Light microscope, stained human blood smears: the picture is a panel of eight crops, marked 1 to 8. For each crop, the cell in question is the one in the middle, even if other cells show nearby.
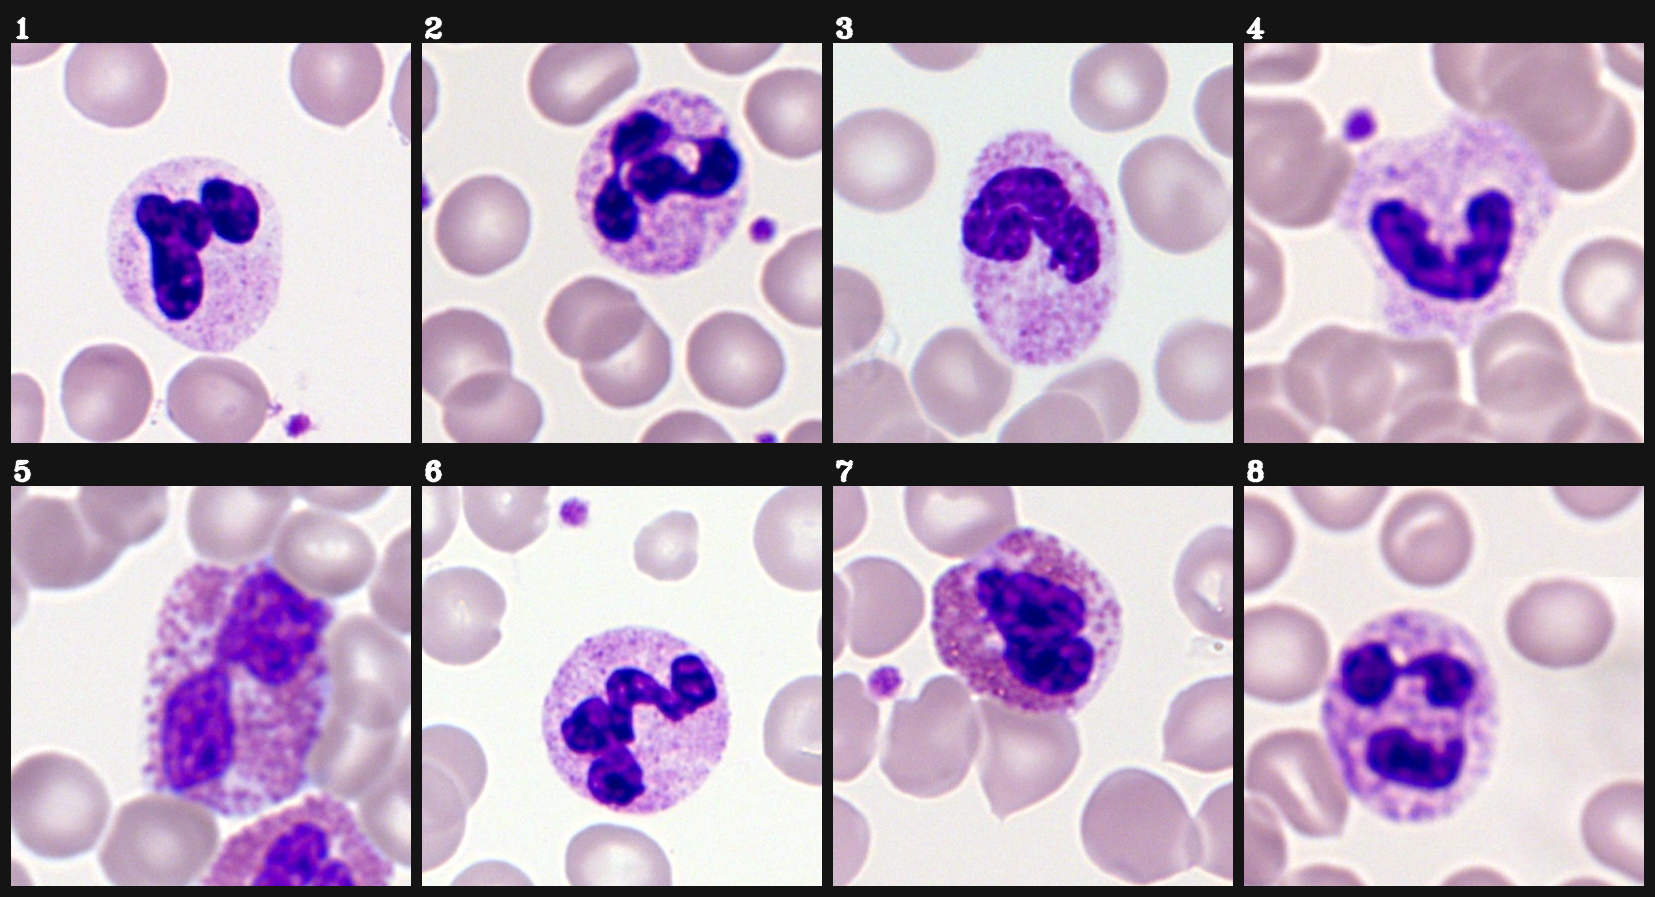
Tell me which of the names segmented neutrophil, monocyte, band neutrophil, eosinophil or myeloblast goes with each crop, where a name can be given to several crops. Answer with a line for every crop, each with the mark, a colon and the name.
1: segmented neutrophil
2: segmented neutrophil
3: band neutrophil
4: band neutrophil
5: eosinophil
6: segmented neutrophil
7: eosinophil
8: segmented neutrophil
